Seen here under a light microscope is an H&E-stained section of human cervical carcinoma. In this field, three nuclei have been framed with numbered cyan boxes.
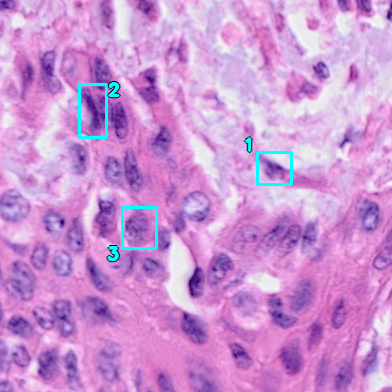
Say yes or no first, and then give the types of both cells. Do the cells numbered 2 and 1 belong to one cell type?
No, rather, cell 2 is a squamous carcinoma cell and cell 1 is a fibroblast.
